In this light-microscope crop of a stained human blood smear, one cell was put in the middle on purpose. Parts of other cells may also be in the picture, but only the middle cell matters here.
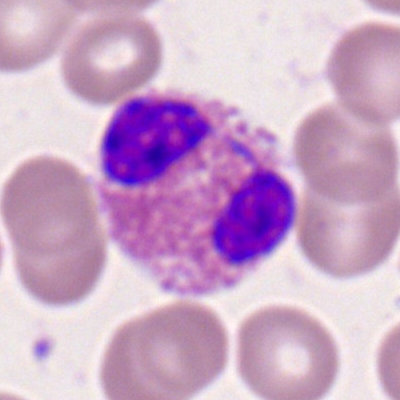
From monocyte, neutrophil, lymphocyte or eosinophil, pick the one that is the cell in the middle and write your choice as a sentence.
Of the cells in this crop, the central one is an eosinophil.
